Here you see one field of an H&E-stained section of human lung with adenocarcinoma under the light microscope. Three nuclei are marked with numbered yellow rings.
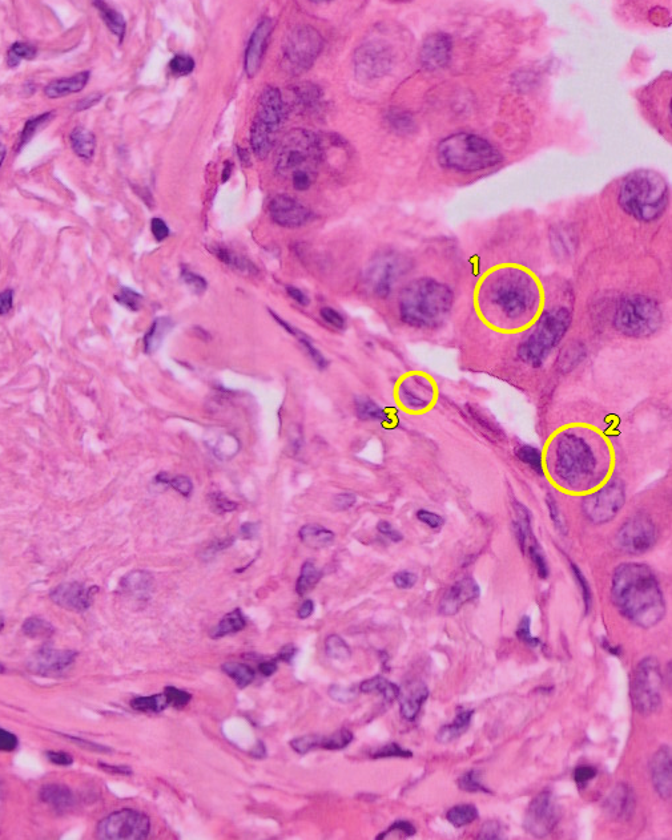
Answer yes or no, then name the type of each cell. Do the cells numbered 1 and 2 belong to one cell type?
Yes, both are carcinoma cells.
